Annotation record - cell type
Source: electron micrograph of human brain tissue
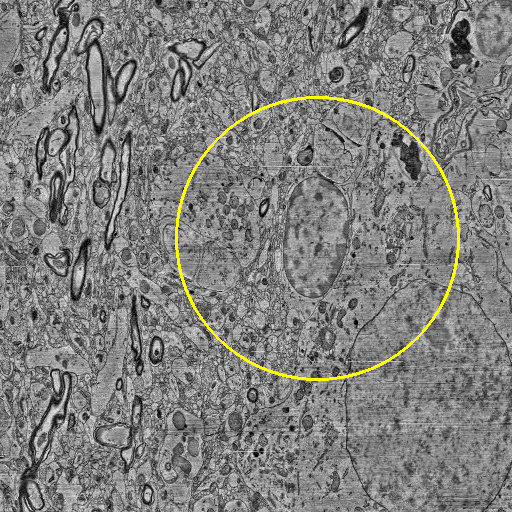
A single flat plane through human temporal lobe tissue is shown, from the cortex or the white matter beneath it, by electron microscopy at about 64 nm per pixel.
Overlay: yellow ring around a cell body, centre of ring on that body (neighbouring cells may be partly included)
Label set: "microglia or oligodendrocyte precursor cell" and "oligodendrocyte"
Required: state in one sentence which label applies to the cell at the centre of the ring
This cell should be labelled as a microglial cell or oligodendrocyte precursor cell.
